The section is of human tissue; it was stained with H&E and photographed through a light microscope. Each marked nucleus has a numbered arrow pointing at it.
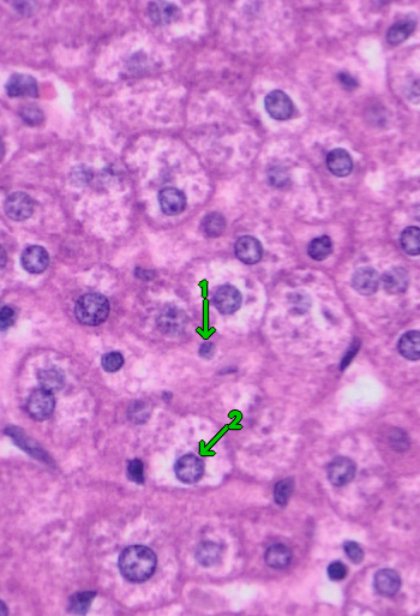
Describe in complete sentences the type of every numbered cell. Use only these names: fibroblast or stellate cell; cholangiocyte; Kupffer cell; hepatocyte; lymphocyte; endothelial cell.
Cell 1 is a lymphocyte. Cell 2 is a hepatocyte.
